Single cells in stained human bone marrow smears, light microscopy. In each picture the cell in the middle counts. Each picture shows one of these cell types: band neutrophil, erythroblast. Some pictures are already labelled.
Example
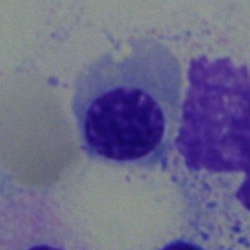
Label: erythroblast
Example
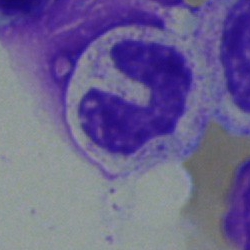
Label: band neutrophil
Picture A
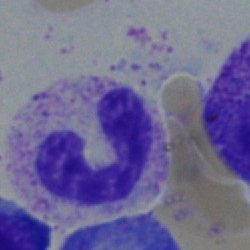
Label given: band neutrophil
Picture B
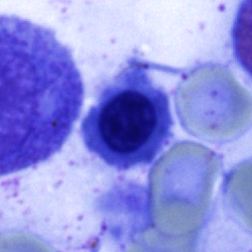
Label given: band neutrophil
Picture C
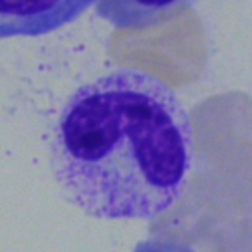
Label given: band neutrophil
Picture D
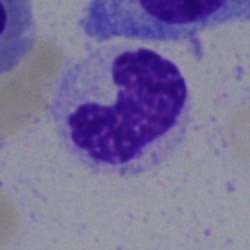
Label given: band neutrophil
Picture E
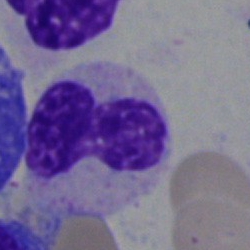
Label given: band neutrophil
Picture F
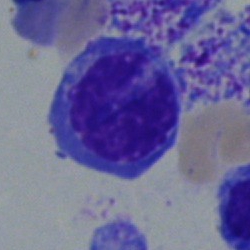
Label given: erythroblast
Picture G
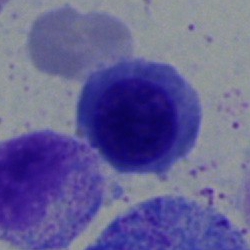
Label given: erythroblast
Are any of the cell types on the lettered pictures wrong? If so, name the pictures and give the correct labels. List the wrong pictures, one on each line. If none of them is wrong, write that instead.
Wrong: B (band neutrophil); correct: erythroblast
